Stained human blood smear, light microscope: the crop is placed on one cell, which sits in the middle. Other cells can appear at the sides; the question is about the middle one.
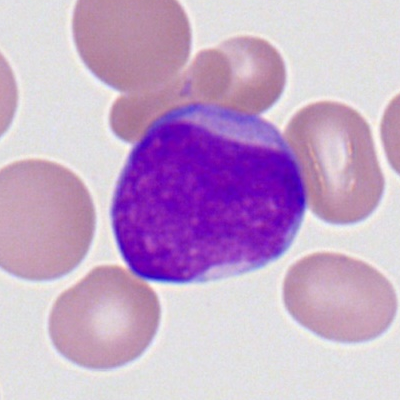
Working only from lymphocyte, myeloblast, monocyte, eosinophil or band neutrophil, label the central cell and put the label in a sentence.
The cell positioned in the middle of the field is a myeloblast.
